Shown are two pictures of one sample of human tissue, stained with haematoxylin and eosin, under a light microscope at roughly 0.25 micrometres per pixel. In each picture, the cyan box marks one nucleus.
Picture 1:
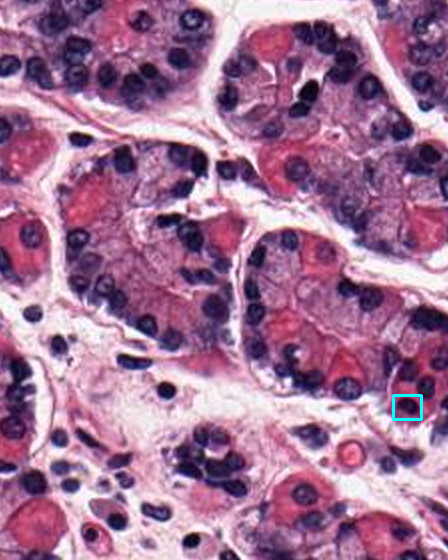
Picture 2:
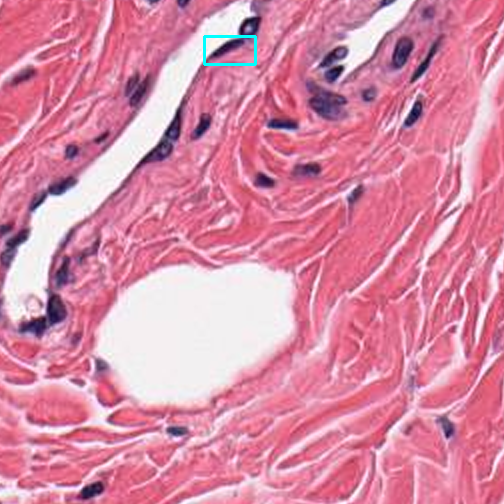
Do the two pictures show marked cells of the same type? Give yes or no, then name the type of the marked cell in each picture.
No, the first is a parietal cell and the second an endothelial cell.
